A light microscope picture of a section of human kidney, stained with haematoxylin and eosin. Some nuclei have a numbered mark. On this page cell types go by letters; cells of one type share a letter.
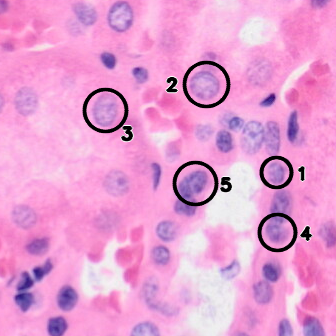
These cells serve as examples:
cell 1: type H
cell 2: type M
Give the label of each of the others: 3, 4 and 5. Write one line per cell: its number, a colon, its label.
3: type M
4: type H
5: type H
